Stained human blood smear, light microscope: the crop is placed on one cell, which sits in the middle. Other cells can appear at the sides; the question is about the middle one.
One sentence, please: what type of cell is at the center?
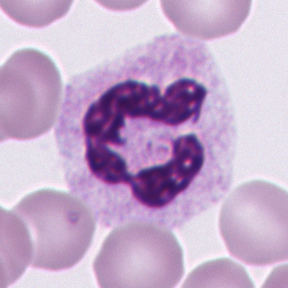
The cell centred in this crop is categorized as a segmented neutrophil.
